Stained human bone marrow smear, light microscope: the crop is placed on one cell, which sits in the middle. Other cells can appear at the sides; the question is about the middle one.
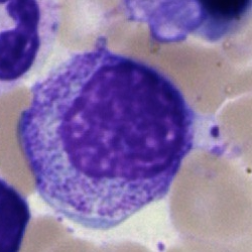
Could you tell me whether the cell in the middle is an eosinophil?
no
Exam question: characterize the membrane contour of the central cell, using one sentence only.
The border of the cell is irregular, being either ragged or extended into projections.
